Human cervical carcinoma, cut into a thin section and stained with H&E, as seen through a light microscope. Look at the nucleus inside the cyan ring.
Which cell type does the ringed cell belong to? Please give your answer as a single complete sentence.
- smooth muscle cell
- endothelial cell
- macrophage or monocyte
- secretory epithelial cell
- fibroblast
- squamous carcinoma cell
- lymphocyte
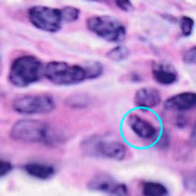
Within this tissue, the ringed cell is a lymphocyte.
